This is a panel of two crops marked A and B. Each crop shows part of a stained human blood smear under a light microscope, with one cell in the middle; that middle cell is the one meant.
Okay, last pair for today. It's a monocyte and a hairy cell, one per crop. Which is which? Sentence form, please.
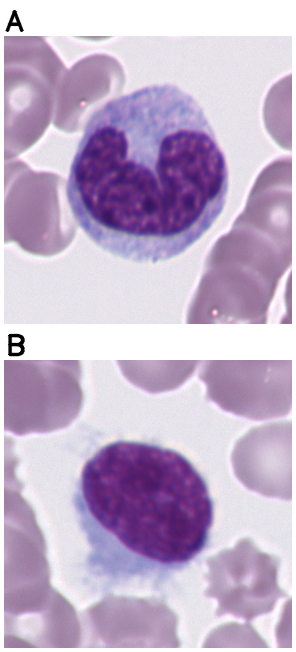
To sum up the two crops, crop A is a monocyte and crop B is a hairy cell.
